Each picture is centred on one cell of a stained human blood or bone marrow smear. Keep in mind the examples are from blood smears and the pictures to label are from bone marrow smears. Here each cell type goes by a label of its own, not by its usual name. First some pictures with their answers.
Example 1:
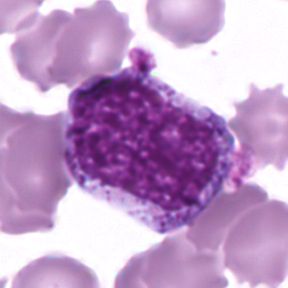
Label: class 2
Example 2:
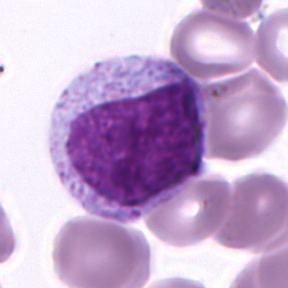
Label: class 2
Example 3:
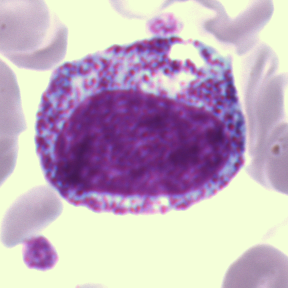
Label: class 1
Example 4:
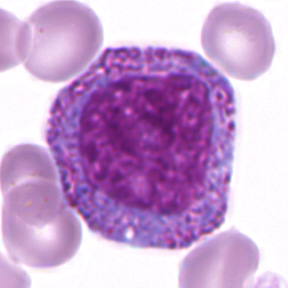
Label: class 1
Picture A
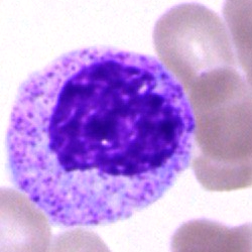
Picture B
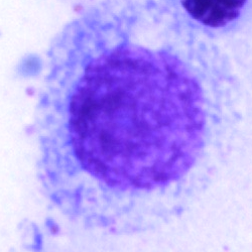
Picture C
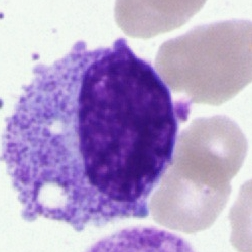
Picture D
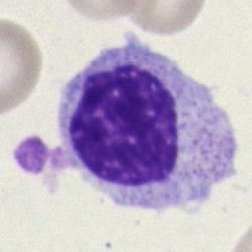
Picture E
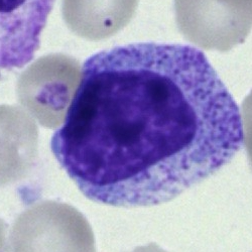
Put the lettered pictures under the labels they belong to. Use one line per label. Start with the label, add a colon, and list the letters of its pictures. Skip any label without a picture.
class 2: A, D, E
class 1: B, C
